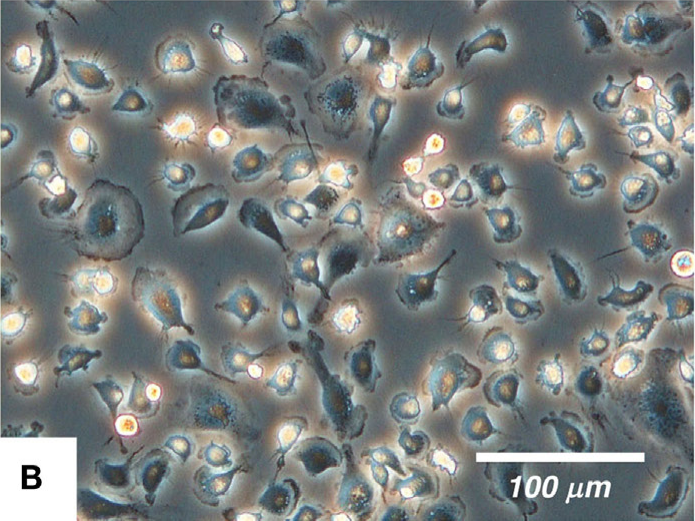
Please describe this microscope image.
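These are macrophages spread on a dish under phase contrast, lying as separate cells across the field. Most have flattened out into irregular, star-like or fan-like shapes, with a dark granular cytoplasm around the middle. From the edges of many cells run thin, spiky projections, and some cells trail a single longer tail. Scattered among them are small round bright cells with a light halo, which are less spread. The cells do not join into a sheet but keep small gaps between one another.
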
